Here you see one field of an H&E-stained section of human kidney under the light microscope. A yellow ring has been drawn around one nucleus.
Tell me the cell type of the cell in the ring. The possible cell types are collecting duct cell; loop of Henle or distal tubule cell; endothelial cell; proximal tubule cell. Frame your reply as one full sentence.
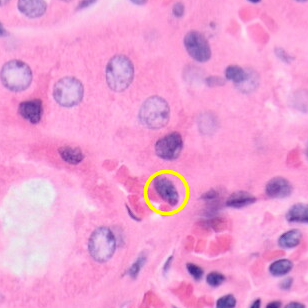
As a matter of cell type, the cell in the ring is an endothelial cell.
